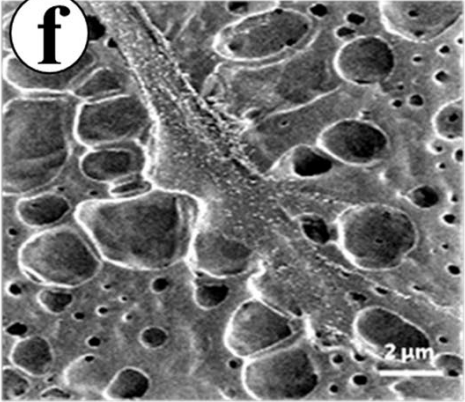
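At high magnification an elongated cell process runs diagonally across a film surface. The surface around it is pitted by numerous small round pores and by larger shallow rounded depressions outlined by bright raised rims. The process itself has a finely granular surface and lies over the pitted film.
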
